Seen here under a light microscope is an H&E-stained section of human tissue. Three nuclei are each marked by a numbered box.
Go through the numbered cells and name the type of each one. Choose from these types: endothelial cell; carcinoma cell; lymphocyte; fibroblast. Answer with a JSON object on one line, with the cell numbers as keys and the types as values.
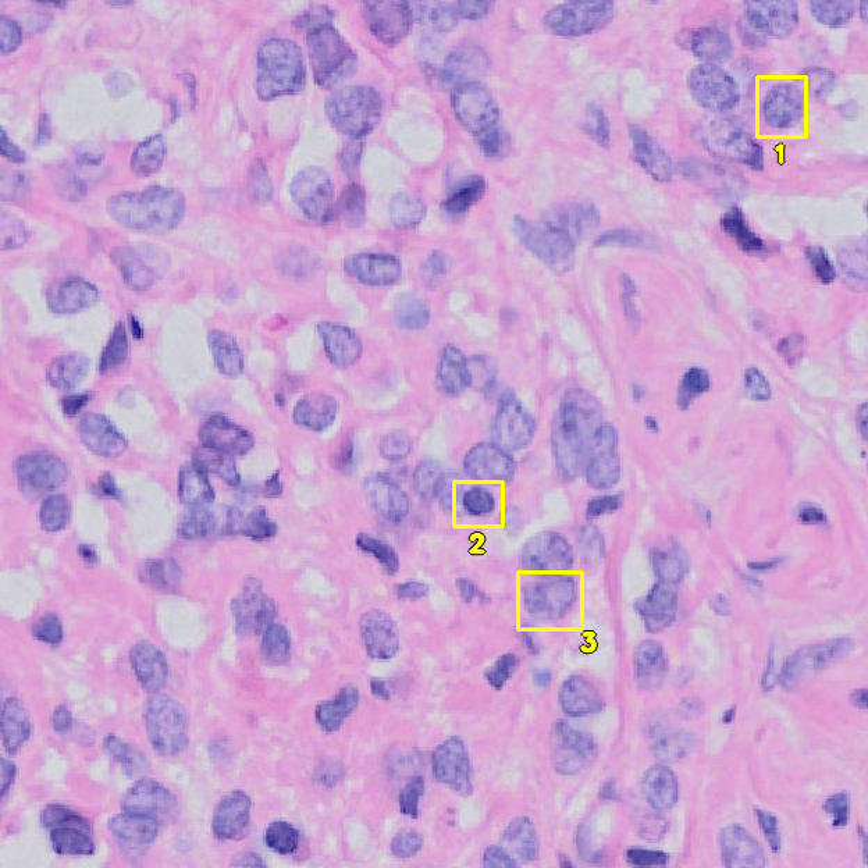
{"1": "carcinoma cell", "2": "lymphocyte", "3": "carcinoma cell"}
